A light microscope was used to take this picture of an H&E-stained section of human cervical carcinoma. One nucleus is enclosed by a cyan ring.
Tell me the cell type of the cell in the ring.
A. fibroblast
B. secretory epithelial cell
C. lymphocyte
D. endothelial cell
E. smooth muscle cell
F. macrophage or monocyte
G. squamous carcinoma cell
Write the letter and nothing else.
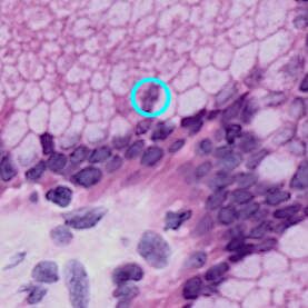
B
